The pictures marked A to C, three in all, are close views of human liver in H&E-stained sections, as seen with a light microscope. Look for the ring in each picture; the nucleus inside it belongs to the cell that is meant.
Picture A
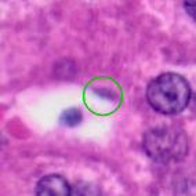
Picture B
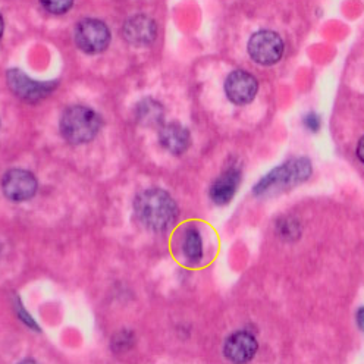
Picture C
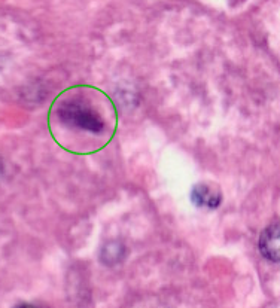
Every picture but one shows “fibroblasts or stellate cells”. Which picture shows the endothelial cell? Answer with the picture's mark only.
A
